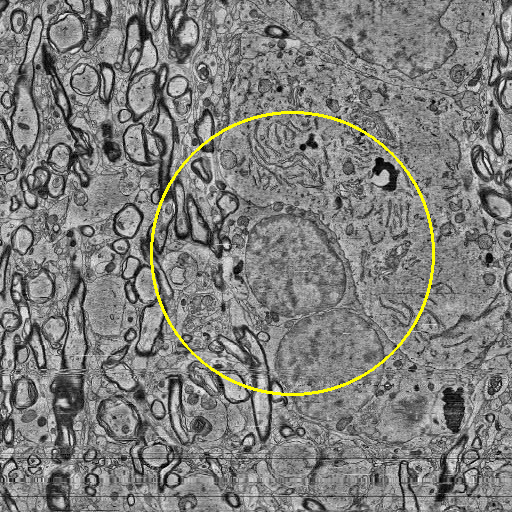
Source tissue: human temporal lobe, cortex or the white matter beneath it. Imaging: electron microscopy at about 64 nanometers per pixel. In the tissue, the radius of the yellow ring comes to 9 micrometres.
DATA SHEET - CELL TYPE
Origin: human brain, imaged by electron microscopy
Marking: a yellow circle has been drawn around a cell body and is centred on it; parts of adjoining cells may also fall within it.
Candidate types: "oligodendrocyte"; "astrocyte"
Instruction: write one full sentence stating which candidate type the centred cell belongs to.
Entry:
The cell body at the centre of the yellow ring in this micrograph belongs to an oligodendrocyte.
